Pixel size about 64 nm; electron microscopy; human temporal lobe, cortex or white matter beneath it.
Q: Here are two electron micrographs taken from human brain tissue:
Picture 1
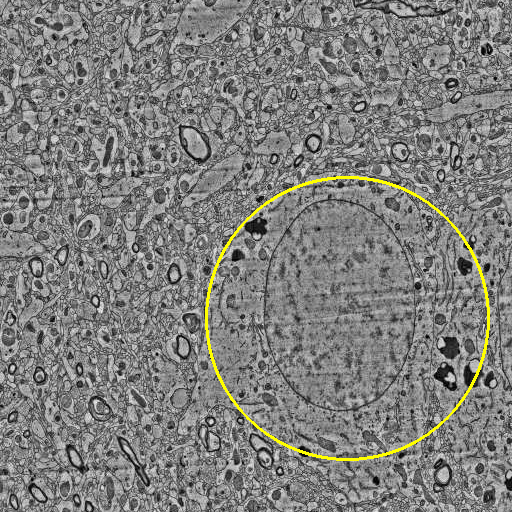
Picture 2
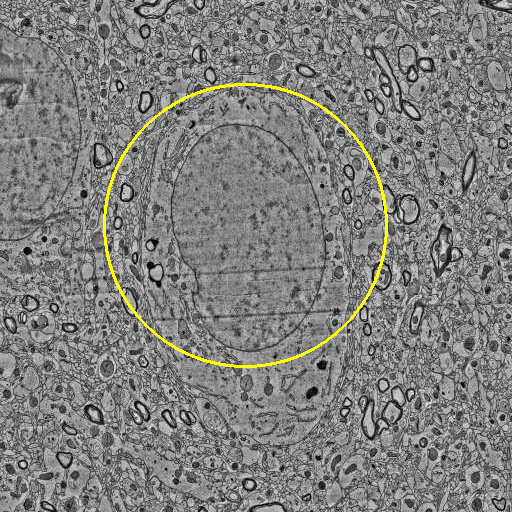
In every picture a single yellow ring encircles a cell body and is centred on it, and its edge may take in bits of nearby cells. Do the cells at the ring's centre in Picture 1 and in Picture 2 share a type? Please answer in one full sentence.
Yes, the cells at the ring's centre in Picture 1 and Picture 2 share a type.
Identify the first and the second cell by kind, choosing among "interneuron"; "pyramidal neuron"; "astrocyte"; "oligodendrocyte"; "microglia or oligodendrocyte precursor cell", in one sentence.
In each picture the ringed cell is a pyramidal neuron.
